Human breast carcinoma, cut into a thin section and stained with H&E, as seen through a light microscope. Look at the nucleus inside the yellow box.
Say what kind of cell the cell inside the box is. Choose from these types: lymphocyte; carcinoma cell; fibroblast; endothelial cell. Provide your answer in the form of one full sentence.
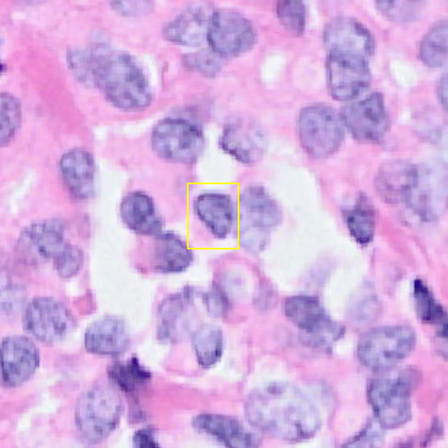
At the level of cell identity, the cell inside the box is a carcinoma cell.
